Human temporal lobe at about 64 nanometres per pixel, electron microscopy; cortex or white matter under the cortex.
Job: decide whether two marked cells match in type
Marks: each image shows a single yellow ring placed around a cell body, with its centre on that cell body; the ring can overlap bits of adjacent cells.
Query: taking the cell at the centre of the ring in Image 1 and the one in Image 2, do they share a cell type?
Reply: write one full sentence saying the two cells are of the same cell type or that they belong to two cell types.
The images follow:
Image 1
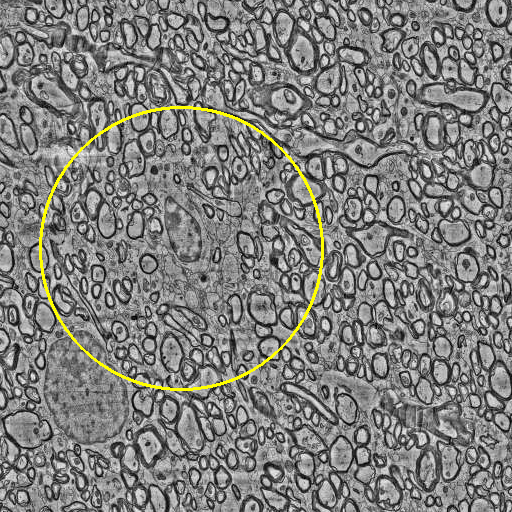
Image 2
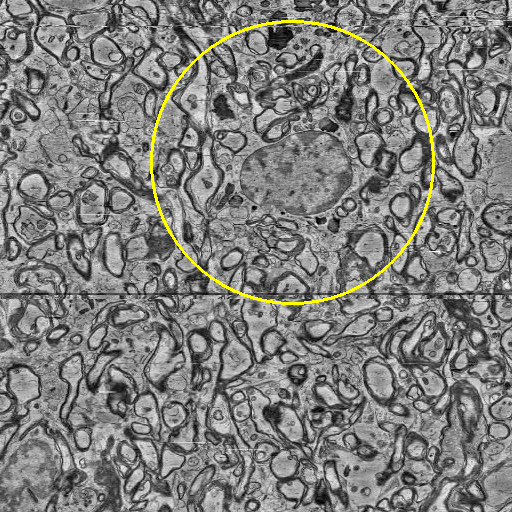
The cells at the ring centres in Image 1 and Image 2 are of the same cell type.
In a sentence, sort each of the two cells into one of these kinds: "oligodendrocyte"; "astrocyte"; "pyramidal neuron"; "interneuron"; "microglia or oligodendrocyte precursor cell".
Each of the two rings surrounds a microglial cell or oligodendrocyte precursor cell.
